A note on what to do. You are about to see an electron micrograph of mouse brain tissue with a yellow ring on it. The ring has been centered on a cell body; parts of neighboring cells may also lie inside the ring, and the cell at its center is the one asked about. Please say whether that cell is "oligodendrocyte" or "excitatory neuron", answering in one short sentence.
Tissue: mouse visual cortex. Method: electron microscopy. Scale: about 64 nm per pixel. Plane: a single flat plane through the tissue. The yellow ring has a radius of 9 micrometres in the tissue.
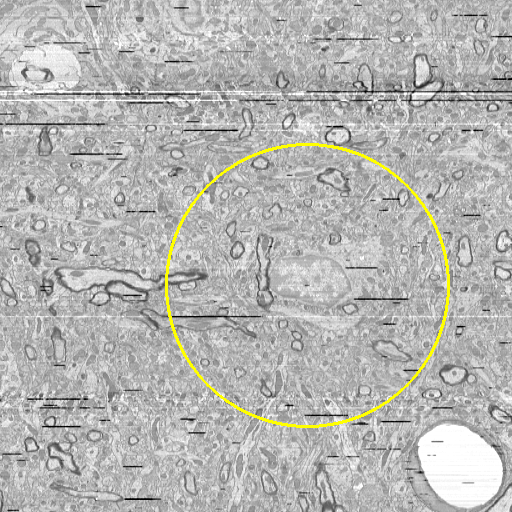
The yellow ring sits on an oligodendrocyte.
